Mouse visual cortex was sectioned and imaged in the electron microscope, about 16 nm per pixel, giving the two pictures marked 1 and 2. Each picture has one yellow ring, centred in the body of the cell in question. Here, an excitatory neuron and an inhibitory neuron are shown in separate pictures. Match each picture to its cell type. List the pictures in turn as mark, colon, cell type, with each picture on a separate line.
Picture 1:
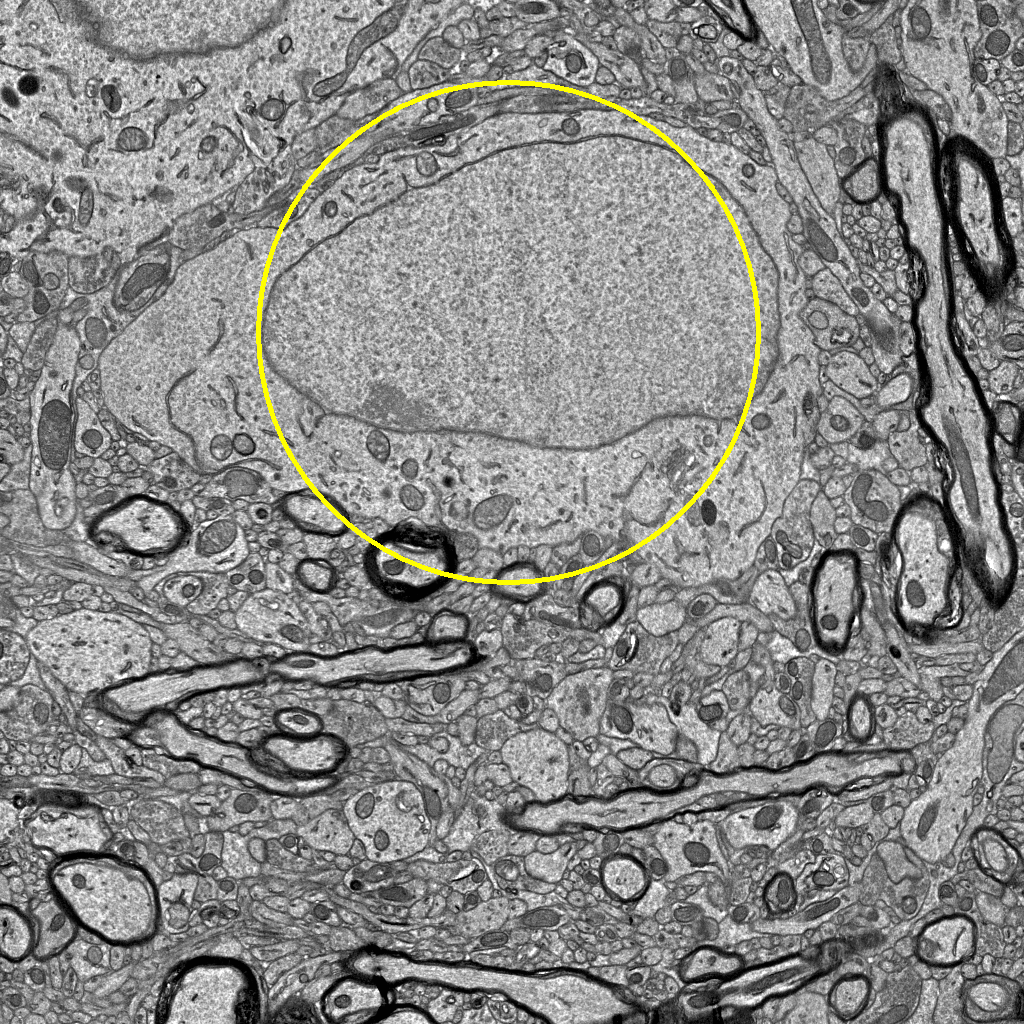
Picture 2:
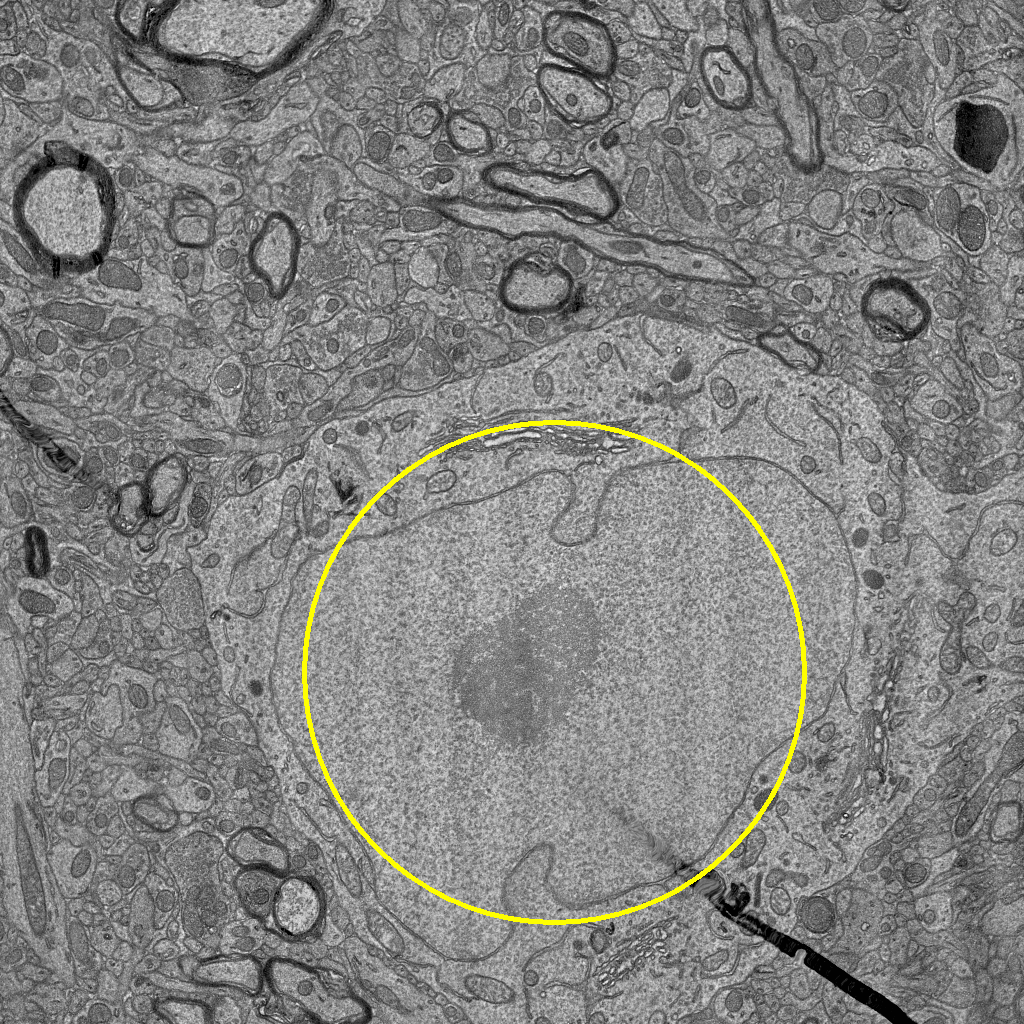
1: excitatory neuron
2: inhibitory neuron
